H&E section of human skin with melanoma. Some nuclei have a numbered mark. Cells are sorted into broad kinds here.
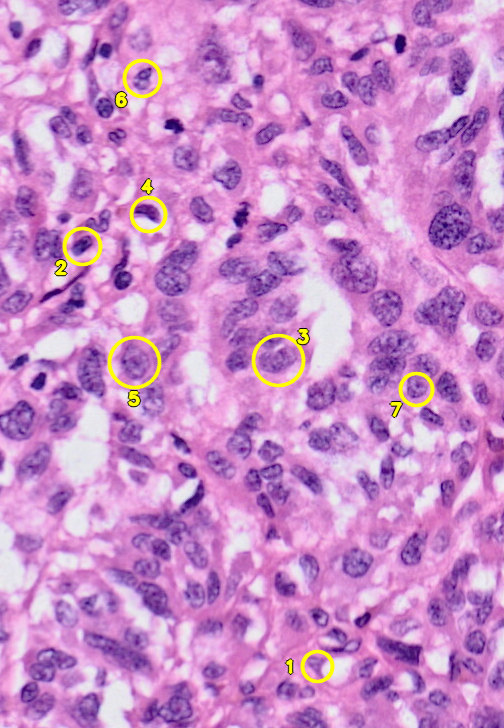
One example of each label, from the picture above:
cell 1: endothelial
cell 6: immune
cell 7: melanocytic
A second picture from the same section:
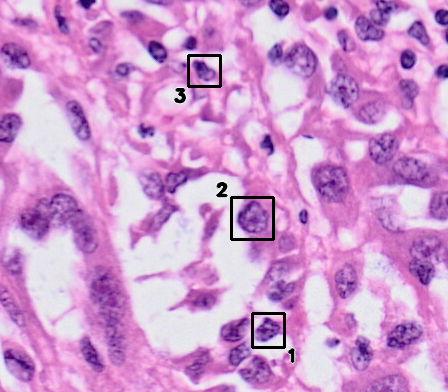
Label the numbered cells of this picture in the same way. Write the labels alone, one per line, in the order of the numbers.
melanocytic
melanocytic
immune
